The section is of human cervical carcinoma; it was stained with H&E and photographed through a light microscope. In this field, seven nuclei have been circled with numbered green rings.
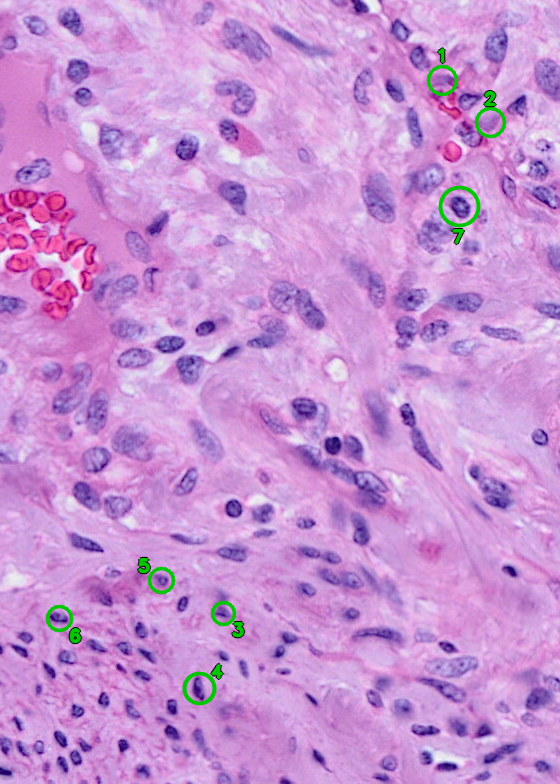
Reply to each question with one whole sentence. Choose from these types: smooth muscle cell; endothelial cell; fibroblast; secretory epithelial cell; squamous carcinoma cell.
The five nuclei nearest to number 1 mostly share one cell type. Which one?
Of the five nuclei nearest to number 1, most belong to endothelial cells.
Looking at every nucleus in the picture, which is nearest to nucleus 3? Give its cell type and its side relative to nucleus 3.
Lying above nucleus 3, the nearest nucleus is that of a smooth muscle cell.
